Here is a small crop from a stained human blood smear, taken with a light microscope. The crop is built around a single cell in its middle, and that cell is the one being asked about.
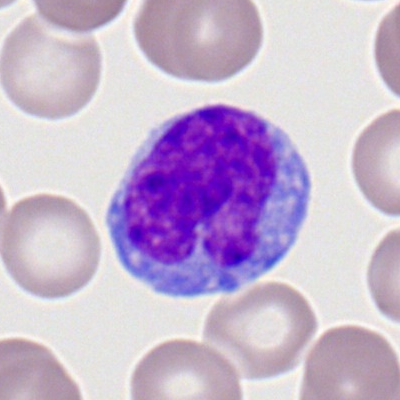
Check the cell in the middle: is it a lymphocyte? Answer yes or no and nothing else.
no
